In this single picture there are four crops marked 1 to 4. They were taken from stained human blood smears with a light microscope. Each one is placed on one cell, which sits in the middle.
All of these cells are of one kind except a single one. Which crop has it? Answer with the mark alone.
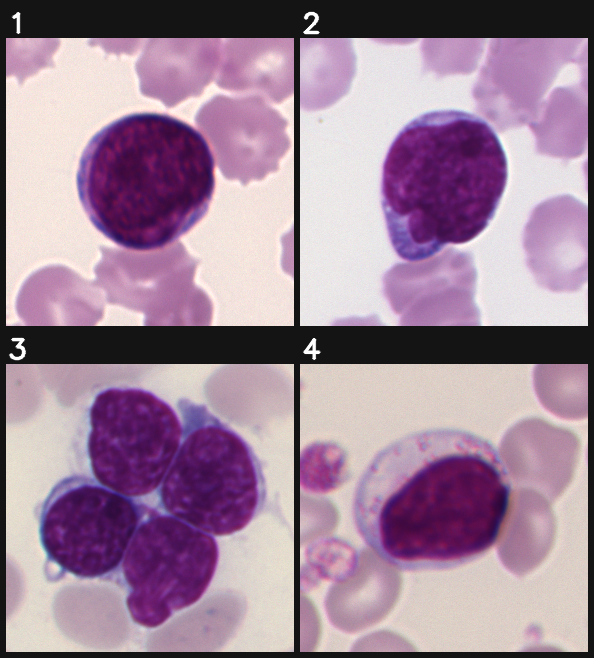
4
